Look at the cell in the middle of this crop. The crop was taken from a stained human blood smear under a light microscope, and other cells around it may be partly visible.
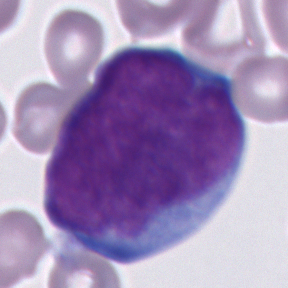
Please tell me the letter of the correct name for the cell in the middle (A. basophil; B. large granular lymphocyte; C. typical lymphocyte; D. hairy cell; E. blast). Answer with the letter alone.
E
